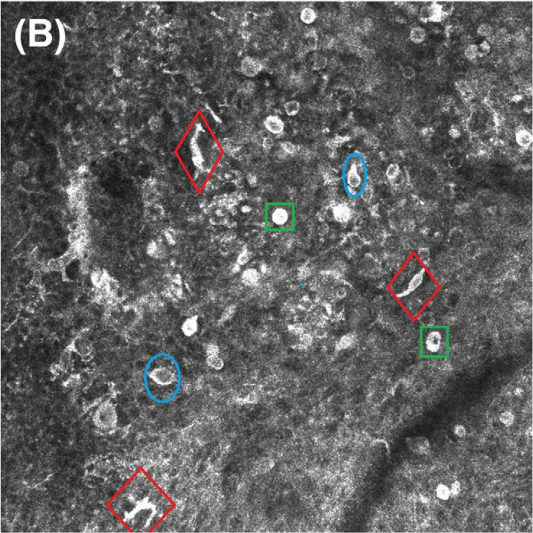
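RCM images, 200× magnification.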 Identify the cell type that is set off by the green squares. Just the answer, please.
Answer: pagetoid single cells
